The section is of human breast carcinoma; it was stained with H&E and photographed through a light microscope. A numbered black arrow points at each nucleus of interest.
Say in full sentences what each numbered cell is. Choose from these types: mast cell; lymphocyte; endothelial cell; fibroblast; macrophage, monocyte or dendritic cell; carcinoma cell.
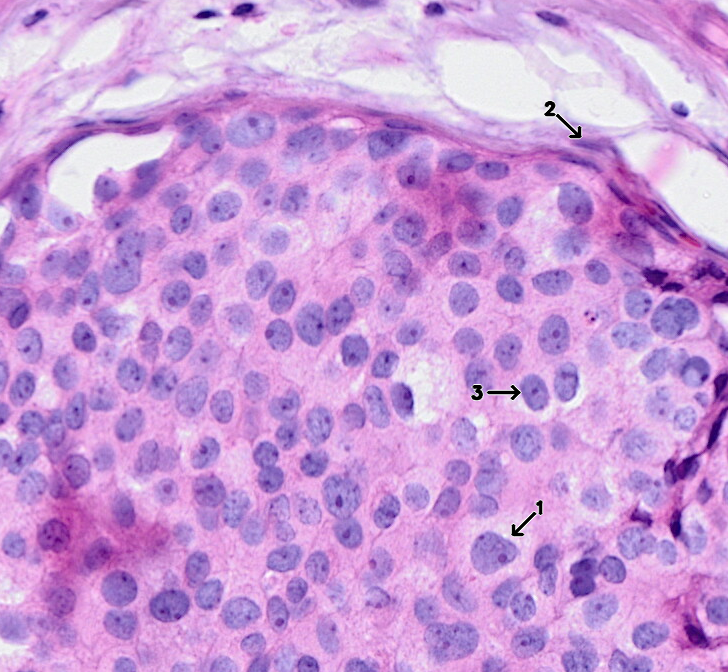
Cells 1 and 3 are carcinoma cells. Cell 2 is an endothelial cell.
